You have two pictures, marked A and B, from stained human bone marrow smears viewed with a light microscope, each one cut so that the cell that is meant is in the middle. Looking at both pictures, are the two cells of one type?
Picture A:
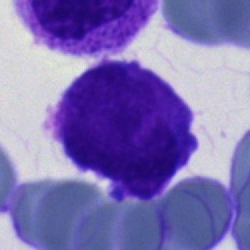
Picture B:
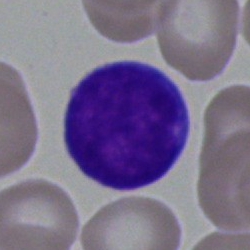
yes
